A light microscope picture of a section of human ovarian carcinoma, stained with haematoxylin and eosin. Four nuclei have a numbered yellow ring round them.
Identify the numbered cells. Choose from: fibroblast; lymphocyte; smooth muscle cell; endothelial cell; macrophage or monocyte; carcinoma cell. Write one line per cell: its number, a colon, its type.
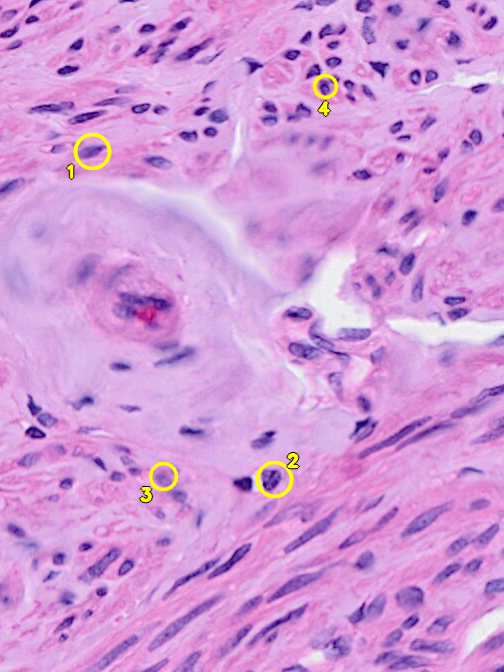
1: smooth muscle cell
2: lymphocyte
3: smooth muscle cell
4: smooth muscle cell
